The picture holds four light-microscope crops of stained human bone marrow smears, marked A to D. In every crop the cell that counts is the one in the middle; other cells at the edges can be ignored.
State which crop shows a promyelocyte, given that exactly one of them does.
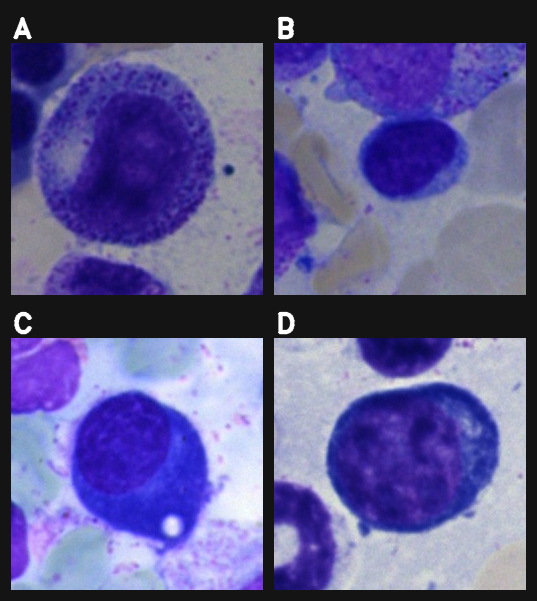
A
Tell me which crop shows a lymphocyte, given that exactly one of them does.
B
